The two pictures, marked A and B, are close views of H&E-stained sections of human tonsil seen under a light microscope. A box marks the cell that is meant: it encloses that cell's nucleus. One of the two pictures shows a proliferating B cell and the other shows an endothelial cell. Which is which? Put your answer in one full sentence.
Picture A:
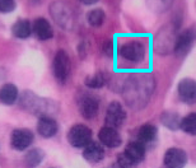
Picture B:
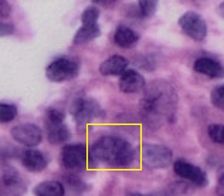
The cell in picture A is an endothelial cell, and the one in picture B is a proliferating B cell.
